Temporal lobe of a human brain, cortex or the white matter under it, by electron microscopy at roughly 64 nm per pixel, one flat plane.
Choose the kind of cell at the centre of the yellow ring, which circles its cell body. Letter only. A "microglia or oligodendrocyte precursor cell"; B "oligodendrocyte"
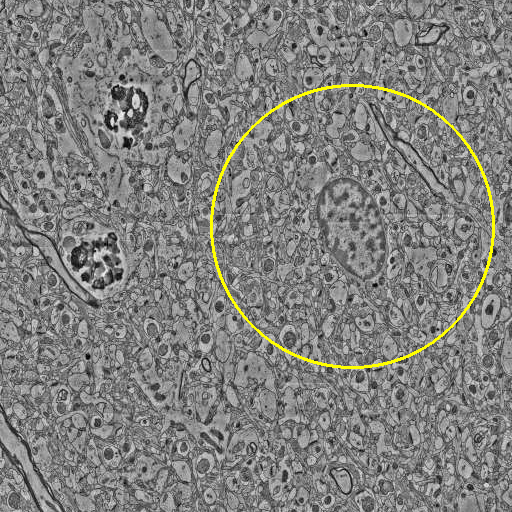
B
